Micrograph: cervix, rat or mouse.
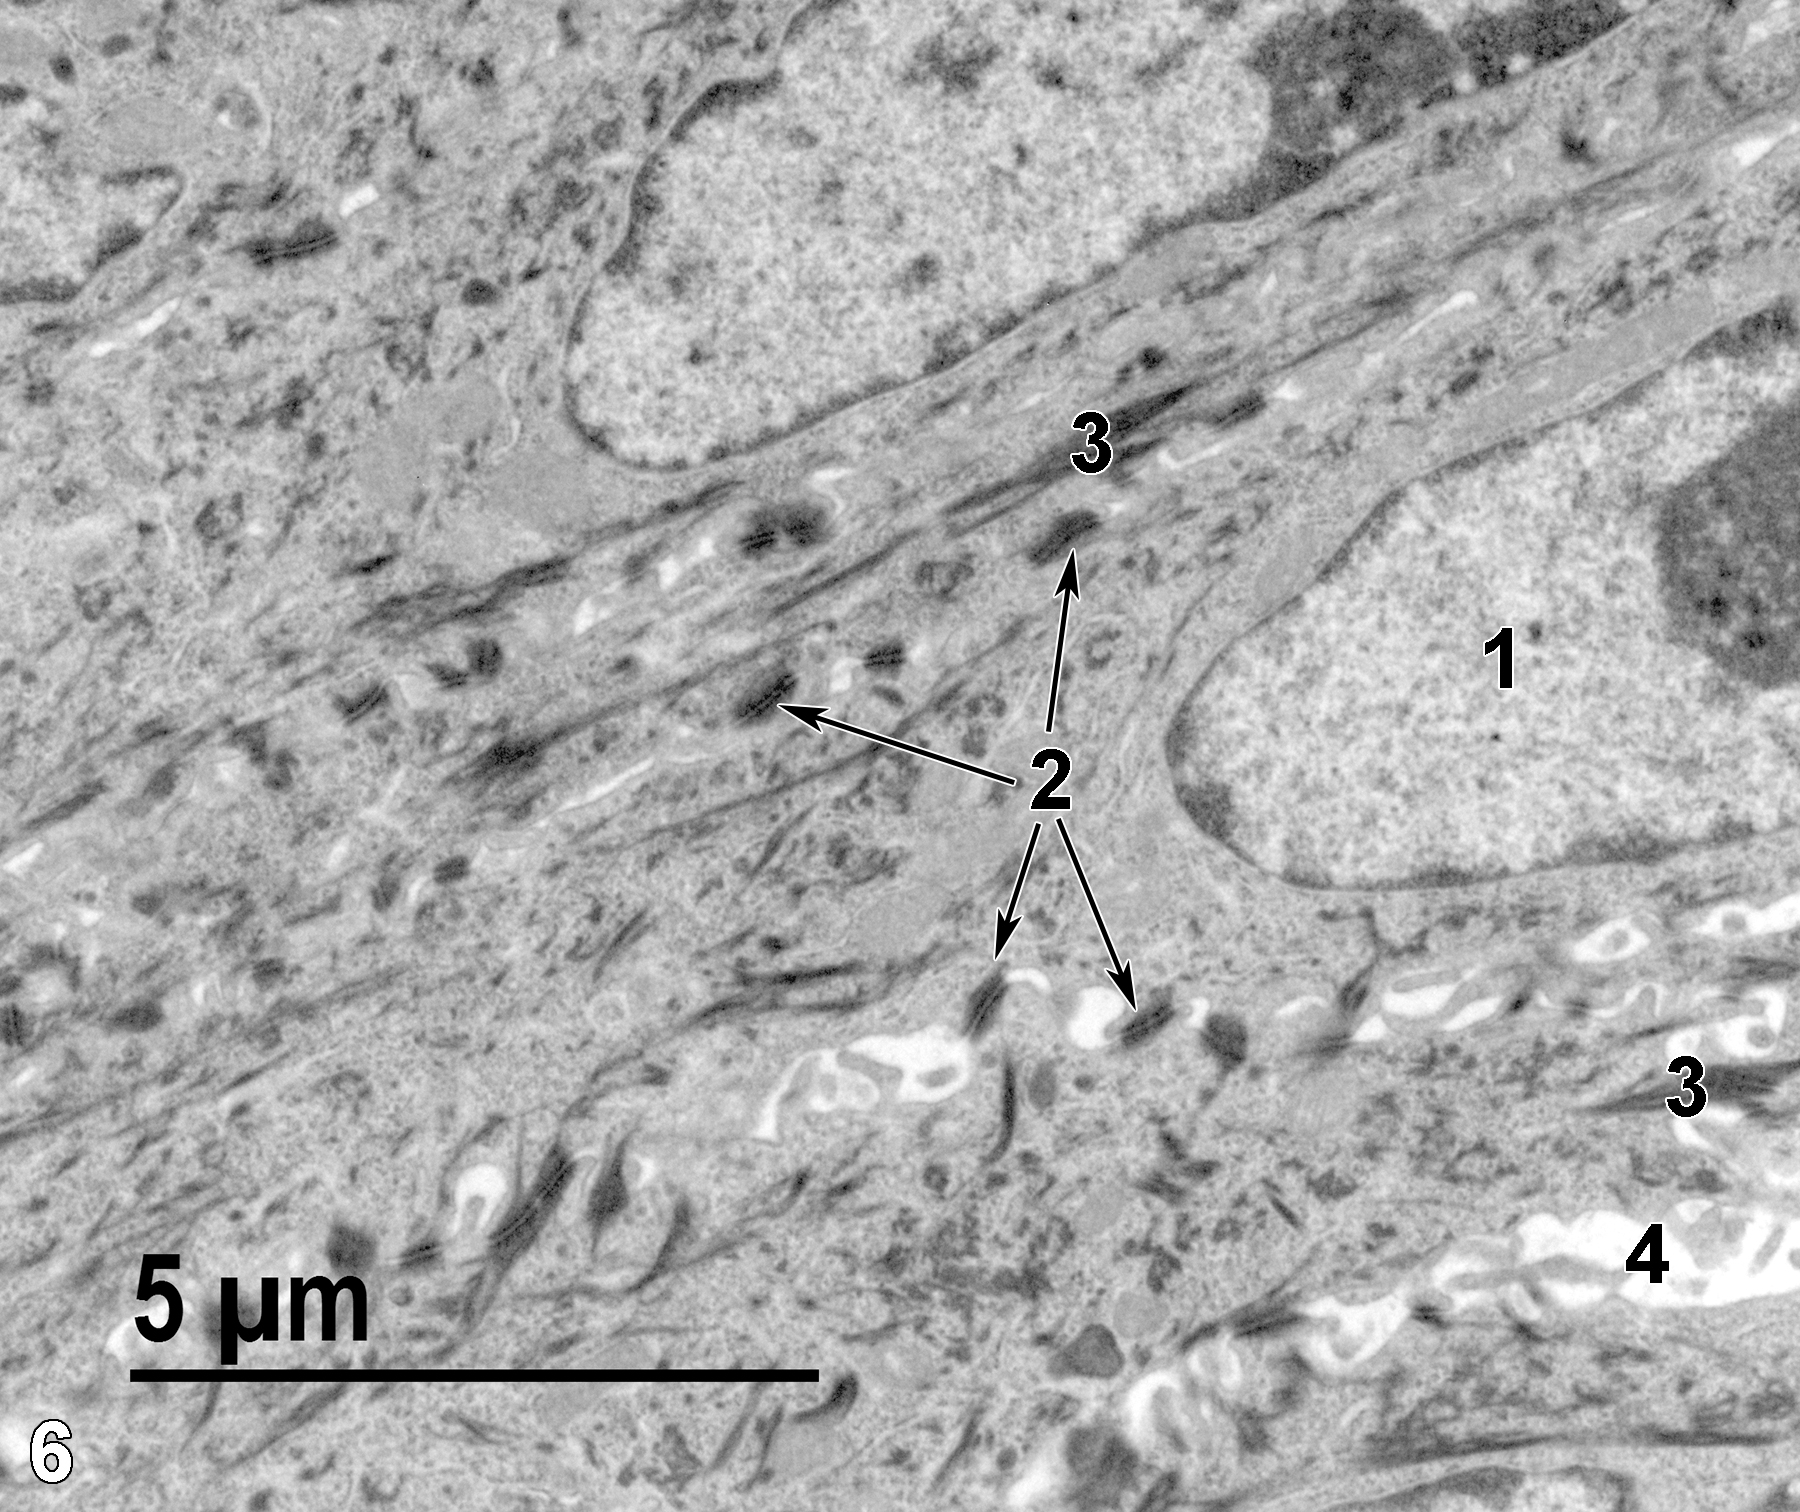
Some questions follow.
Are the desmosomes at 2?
Yes.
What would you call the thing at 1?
Nucleus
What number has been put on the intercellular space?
Number 4.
